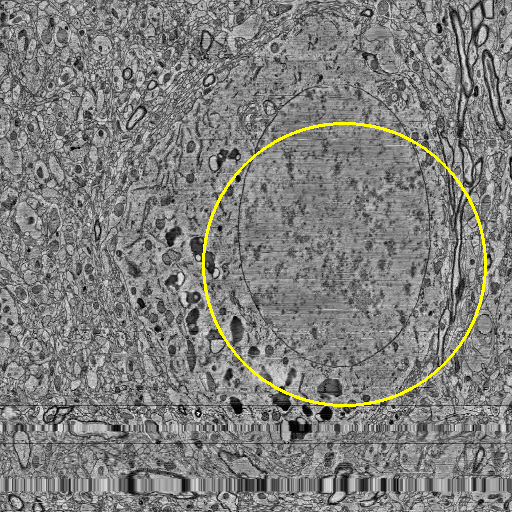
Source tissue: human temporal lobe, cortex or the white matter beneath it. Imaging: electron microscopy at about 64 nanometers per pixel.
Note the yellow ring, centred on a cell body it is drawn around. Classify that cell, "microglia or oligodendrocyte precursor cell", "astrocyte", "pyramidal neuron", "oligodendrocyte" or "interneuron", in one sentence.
The cell the ring is centred on is a pyramidal neuron.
